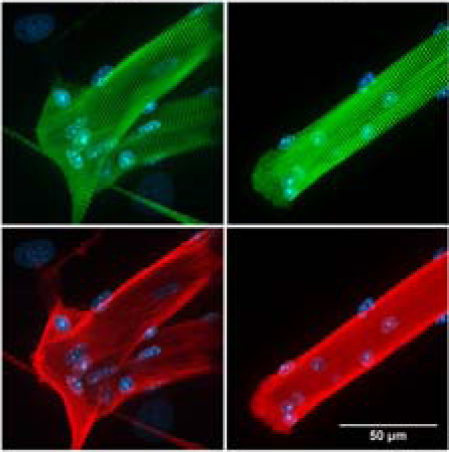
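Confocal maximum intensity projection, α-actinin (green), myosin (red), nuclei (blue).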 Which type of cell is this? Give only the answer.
Muscle fibers.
